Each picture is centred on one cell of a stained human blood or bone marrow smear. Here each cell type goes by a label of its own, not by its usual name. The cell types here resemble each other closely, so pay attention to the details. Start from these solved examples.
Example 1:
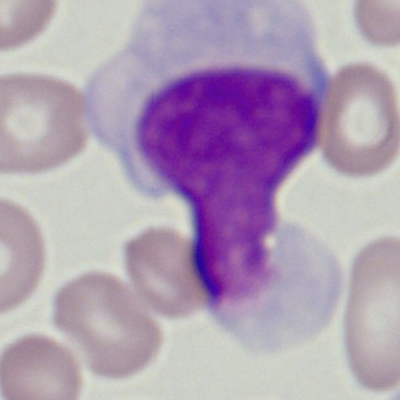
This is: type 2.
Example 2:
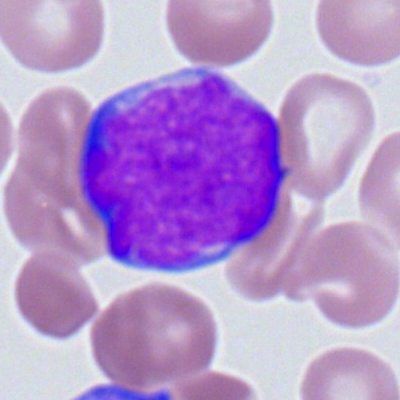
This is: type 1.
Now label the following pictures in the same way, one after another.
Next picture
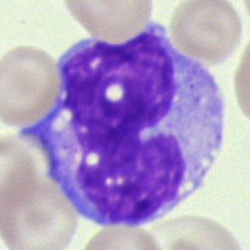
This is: type 2.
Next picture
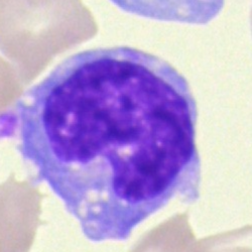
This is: type 2.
